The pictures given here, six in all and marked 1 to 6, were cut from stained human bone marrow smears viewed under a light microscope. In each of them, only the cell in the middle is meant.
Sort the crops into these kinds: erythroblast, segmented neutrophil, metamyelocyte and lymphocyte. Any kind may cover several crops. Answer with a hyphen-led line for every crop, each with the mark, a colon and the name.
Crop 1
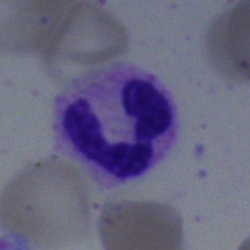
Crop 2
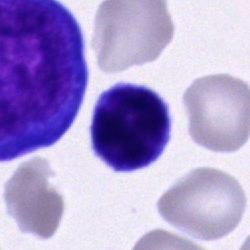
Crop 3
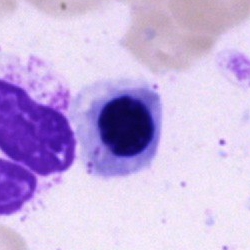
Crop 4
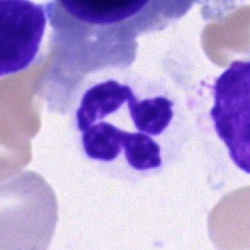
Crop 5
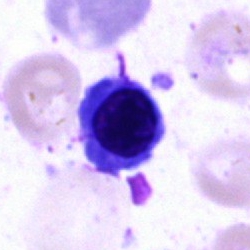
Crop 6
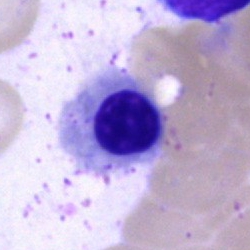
- 1: segmented neutrophil
- 2: lymphocyte
- 3: erythroblast
- 4: segmented neutrophil
- 5: erythroblast
- 6: erythroblast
